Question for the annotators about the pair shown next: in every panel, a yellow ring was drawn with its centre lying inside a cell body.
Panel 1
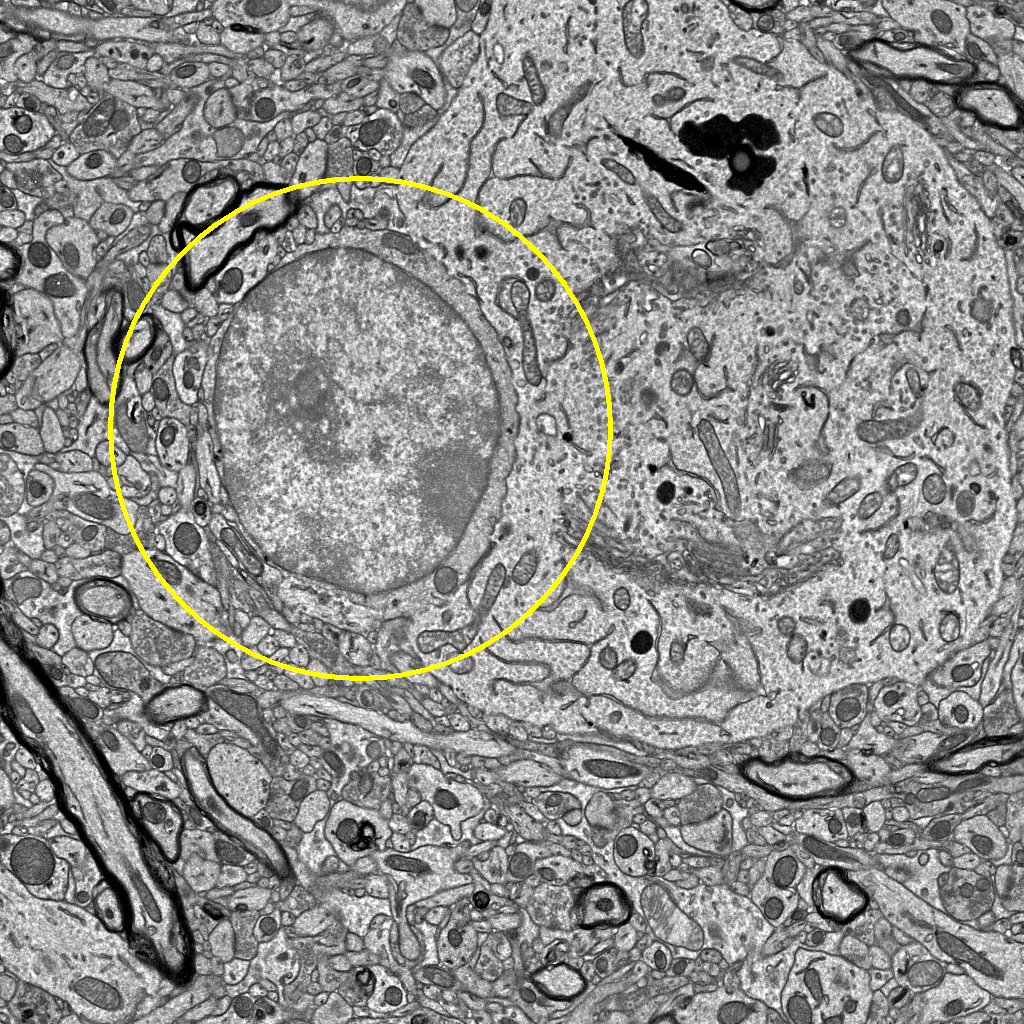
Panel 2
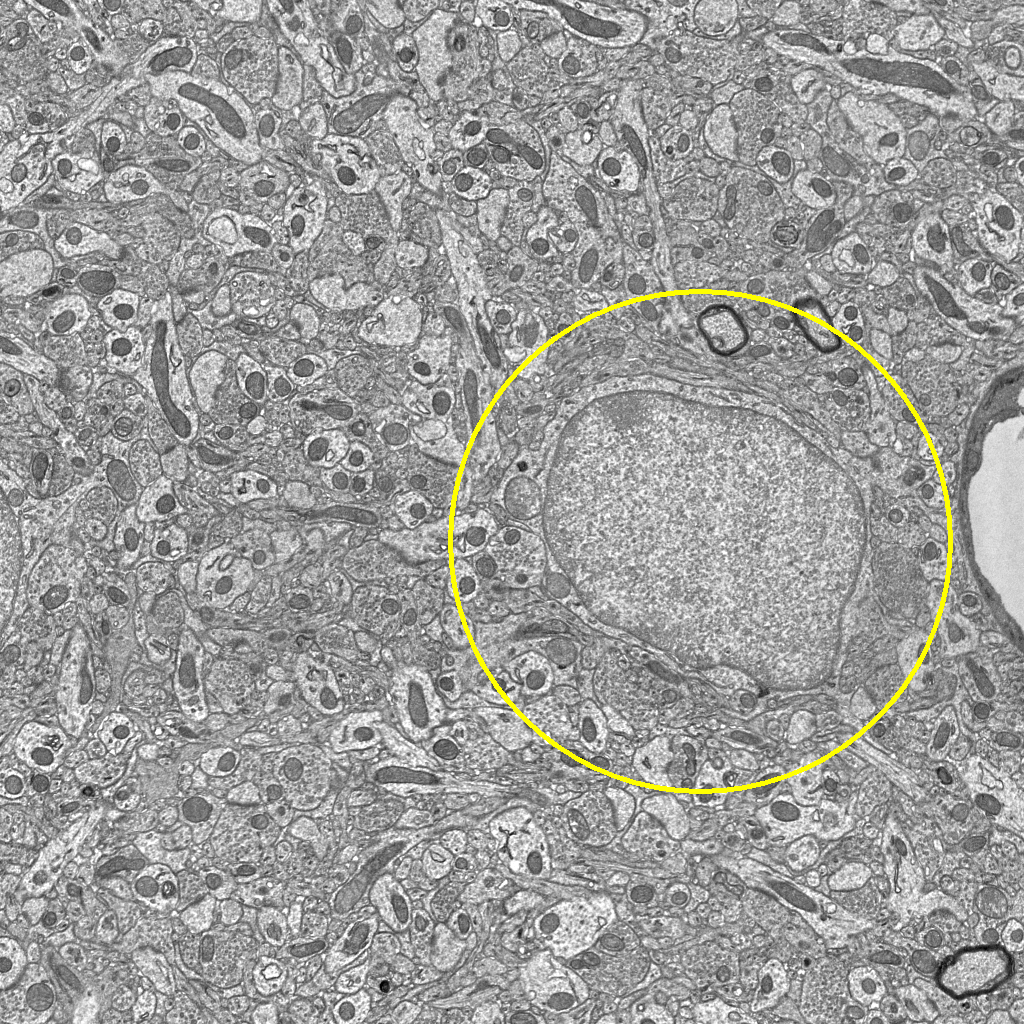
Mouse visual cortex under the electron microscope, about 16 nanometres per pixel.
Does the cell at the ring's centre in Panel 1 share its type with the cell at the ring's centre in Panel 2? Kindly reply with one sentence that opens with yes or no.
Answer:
No, in Panels 1 and 2 the cells at the ring centres belong to separate types.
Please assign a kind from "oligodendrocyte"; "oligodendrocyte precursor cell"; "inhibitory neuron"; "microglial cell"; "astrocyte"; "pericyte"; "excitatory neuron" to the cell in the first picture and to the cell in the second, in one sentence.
The two cells are an oligodendrocyte in the first picture and an astrocyte in the second.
